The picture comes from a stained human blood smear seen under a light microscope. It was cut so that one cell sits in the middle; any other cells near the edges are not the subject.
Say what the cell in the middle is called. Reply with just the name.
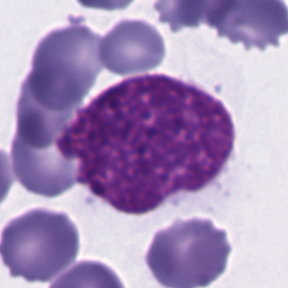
smudge cell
